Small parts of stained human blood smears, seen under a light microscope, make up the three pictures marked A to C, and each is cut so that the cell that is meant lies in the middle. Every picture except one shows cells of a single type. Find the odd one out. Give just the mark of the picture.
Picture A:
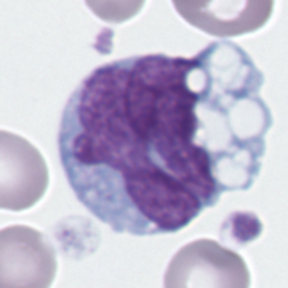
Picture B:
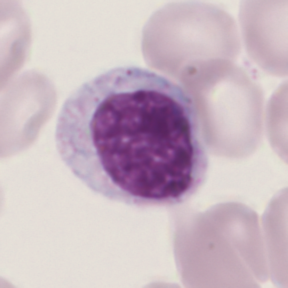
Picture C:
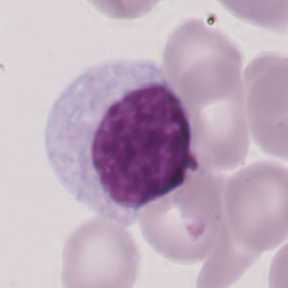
A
